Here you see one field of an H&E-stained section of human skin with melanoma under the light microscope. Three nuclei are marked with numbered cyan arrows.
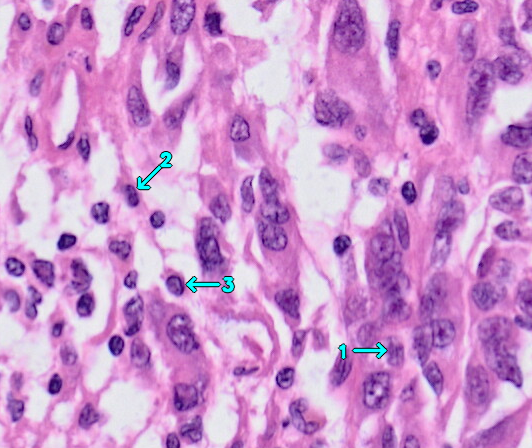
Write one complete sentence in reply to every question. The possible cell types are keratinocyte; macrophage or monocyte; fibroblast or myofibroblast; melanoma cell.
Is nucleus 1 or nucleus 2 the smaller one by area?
Number 2 is smaller, since number 1 takes up about 1.5 times as much area.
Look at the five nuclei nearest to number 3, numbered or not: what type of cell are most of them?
Of the five nuclei nearest to number 3, most belong to melanoma cells.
